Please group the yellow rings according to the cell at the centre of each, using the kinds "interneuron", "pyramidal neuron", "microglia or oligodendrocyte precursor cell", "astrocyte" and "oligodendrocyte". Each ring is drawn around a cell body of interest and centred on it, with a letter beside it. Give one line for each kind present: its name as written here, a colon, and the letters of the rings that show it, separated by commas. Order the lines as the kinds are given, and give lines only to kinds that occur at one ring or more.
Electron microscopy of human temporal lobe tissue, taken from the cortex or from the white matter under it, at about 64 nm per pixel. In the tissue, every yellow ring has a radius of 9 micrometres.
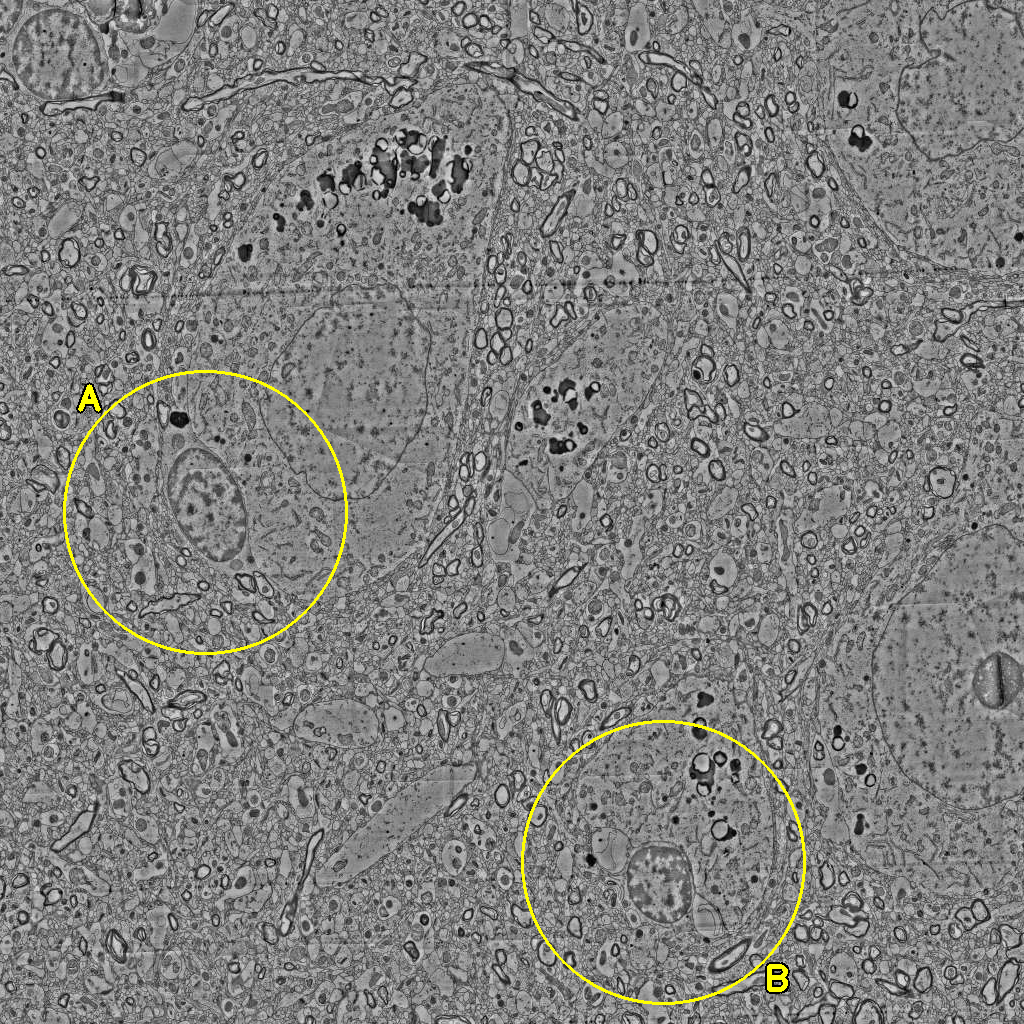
microglia or oligodendrocyte precursor cell: B
oligodendrocyte: A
